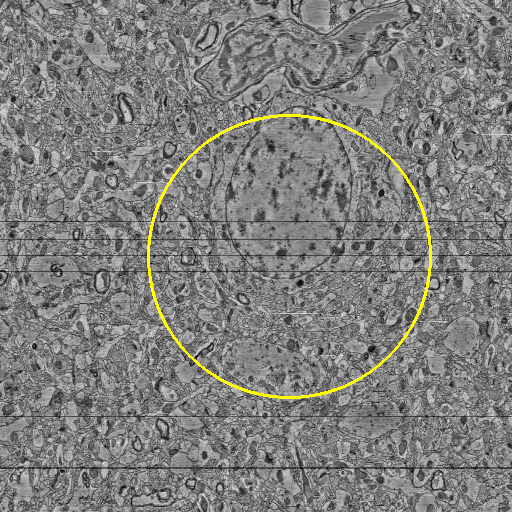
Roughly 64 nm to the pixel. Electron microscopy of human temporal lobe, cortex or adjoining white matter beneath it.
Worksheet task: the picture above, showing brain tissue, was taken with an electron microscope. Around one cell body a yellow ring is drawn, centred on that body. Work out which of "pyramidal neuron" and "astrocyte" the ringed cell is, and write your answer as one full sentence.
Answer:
It is a pyramidal neuron whose cell body lies at the centre of the yellow ring.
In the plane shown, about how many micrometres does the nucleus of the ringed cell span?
In this plane the nucleus measures roughly 12 by 8 micrometres.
